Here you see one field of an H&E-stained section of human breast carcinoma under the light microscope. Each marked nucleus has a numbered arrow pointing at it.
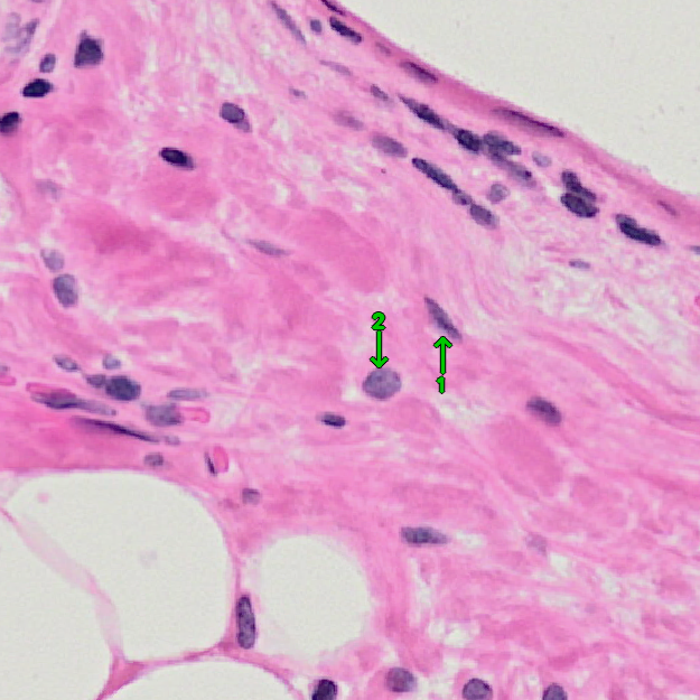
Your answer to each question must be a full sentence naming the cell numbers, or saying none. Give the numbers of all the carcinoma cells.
There is just one numbered cell that is a carcinoma cell, and it is cell 2.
